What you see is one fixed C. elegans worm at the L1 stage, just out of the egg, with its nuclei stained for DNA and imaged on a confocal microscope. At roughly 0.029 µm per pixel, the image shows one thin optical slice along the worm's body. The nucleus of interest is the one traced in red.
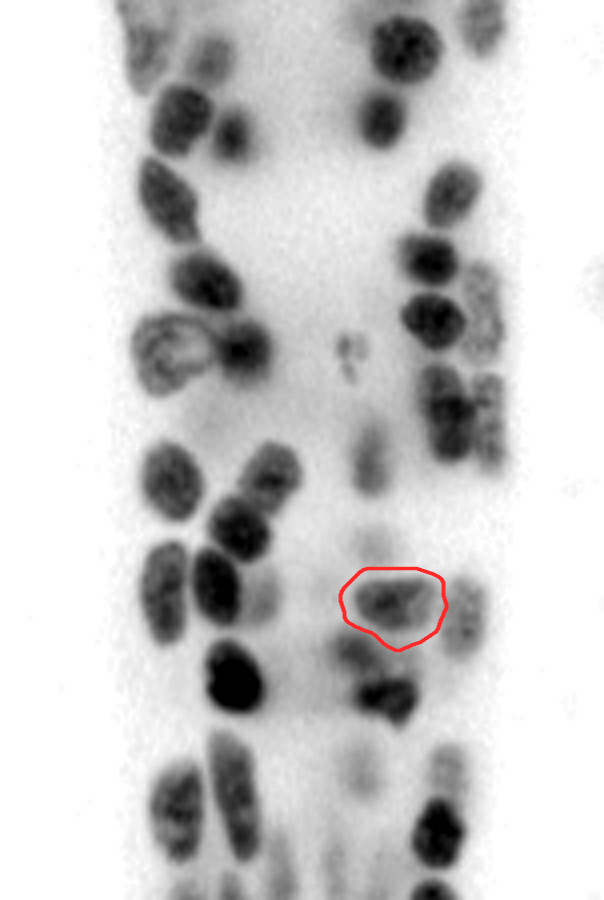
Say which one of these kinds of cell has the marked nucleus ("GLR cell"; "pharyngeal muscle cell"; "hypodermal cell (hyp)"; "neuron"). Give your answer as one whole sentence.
The nucleus comes from a pharyngeal muscle cell.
